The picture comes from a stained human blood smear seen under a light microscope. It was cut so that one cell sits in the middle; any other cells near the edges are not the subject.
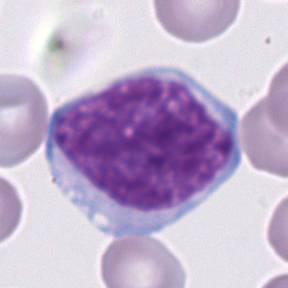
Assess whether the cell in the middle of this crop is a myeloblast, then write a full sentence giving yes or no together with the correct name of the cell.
Yes, the central cell of this crop corresponds to a myeloblast.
